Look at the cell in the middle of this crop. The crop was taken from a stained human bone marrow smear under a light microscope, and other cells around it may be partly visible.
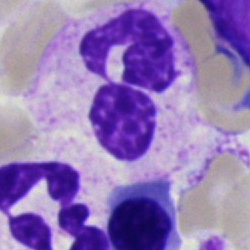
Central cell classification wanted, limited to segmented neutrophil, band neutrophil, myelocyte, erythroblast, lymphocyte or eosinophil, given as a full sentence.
For this crop, the central cell is a segmented neutrophil.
